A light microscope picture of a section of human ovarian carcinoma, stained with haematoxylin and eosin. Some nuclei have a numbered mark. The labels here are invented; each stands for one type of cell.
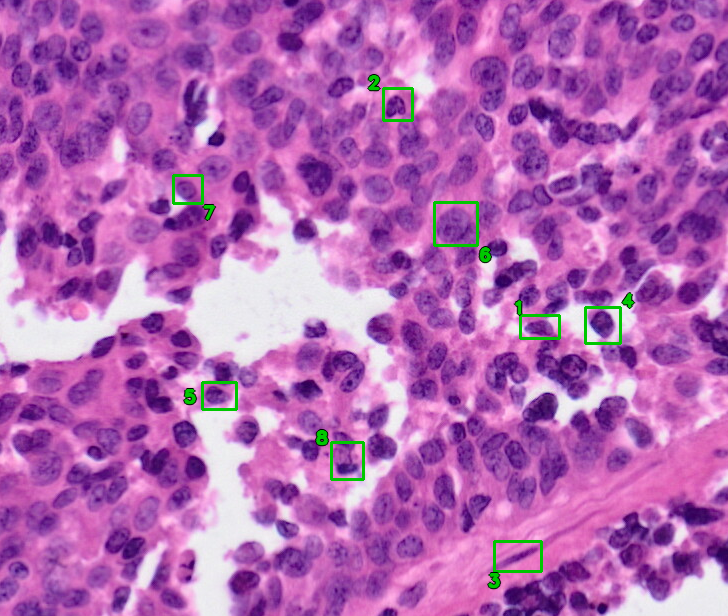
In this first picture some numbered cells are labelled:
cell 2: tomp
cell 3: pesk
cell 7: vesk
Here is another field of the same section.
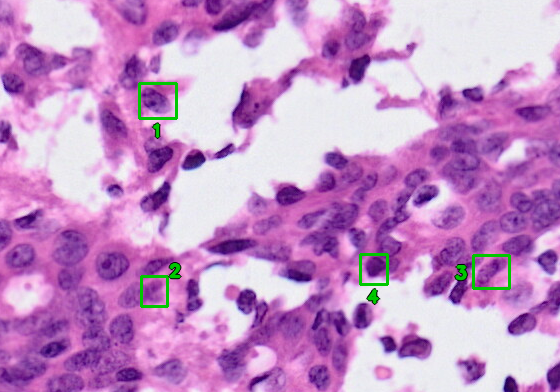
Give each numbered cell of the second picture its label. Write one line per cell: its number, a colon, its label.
1: tomp
2: vesk
3: vesk
4: vesk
